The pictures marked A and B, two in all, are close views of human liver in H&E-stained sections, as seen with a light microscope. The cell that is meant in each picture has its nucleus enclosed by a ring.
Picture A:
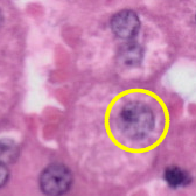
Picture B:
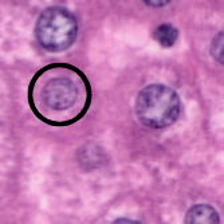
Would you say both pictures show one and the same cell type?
yes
